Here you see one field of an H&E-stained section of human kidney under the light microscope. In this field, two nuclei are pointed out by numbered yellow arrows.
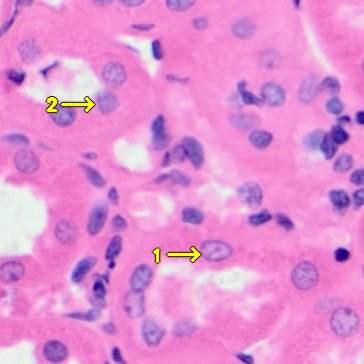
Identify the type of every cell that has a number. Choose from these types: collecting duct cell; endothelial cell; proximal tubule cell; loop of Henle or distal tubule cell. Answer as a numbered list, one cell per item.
1. proximal tubule cell
2. loop of Henle or distal tubule cell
